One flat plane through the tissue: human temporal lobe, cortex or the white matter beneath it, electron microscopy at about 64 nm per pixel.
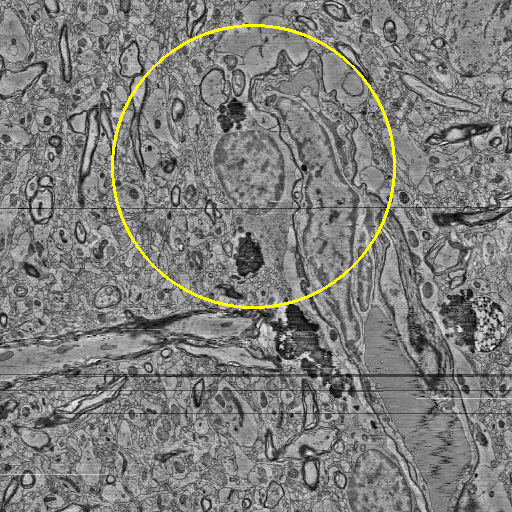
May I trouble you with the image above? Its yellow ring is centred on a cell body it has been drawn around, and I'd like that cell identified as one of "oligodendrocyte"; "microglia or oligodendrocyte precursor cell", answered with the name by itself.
oligodendrocyte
